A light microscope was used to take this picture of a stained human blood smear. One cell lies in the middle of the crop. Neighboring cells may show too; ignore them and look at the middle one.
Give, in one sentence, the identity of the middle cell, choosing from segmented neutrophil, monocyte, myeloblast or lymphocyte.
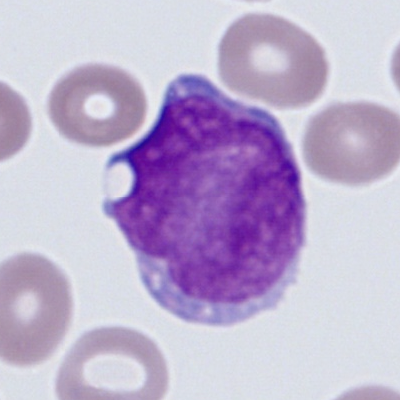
The cell at the central position in this crop is a myeloblast.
